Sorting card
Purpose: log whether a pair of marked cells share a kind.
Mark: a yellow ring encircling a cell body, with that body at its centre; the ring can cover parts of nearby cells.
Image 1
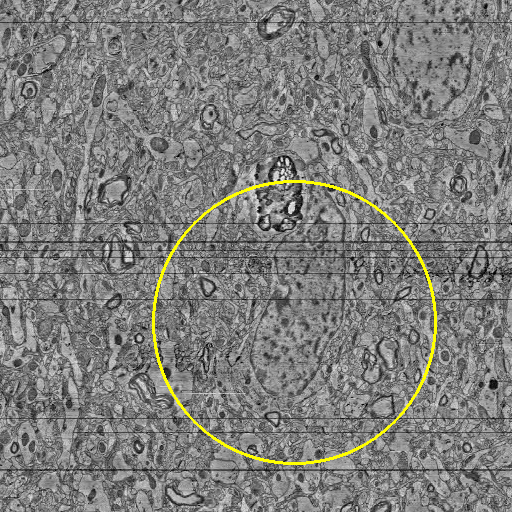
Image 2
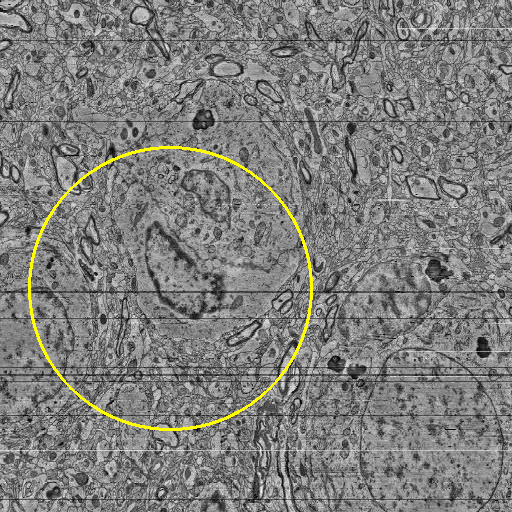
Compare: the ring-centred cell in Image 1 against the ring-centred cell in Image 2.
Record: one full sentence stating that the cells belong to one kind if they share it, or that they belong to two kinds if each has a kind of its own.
Across Images 1 and 2, the two ring-centred cells belong to one kind.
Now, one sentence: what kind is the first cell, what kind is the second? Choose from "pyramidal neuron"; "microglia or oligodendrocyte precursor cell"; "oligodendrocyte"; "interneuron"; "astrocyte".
The cell at the ring centre is a microglial cell or oligodendrocyte precursor cell in both pictures.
